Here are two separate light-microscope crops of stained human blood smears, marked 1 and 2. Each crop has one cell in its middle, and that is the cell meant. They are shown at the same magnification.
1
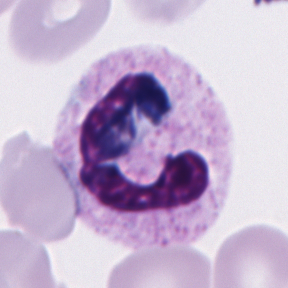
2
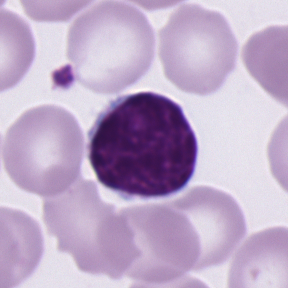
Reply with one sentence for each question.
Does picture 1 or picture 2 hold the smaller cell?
Picture 2 holds the smaller cell, since the cell in picture 1 covers about 2.5 times as much area.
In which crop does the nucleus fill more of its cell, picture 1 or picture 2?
In picture 2 the nucleus takes up the larger part of its cell.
